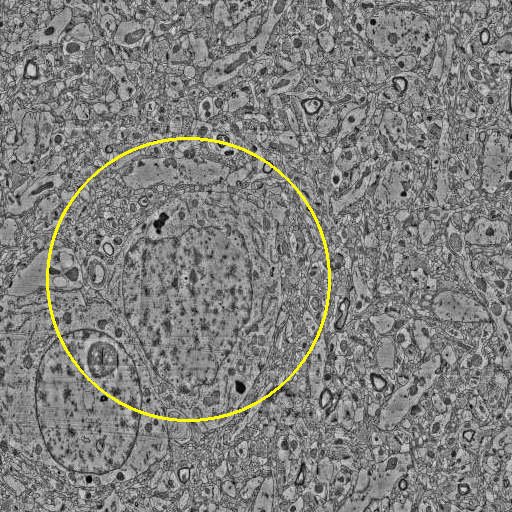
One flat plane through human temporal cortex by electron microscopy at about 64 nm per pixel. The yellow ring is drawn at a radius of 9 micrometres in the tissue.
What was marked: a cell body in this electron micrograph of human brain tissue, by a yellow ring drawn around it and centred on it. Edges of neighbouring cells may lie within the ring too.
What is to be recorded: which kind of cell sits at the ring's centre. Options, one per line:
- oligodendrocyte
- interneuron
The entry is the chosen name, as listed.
interneuron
